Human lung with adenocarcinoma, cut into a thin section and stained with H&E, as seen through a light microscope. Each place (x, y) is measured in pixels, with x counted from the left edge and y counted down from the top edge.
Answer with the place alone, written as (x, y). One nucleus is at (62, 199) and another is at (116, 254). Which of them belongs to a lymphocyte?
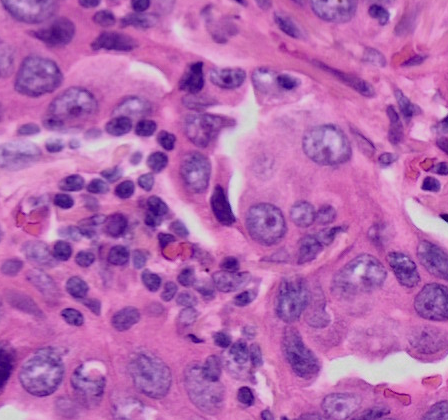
(62, 199)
